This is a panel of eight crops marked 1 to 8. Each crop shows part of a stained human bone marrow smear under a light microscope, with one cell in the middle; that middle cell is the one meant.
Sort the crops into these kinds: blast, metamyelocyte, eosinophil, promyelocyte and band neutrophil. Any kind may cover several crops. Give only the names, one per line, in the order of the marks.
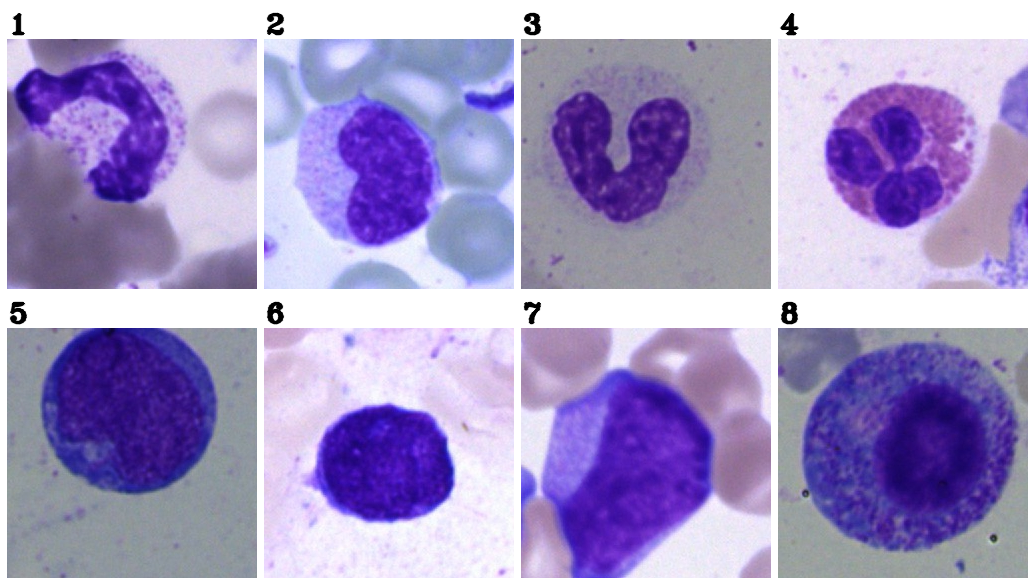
band neutrophil
metamyelocyte
band neutrophil
eosinophil
blast
blast
blast
promyelocyte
